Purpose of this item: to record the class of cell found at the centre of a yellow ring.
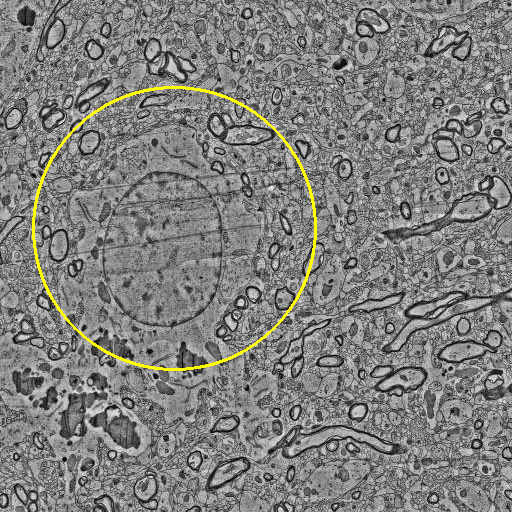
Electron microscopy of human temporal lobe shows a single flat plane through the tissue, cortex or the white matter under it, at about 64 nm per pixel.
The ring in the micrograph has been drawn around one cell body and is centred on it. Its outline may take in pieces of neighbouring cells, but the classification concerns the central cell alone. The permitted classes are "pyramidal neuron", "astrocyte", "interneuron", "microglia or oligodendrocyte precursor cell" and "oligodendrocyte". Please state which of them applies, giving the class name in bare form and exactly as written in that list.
astrocyte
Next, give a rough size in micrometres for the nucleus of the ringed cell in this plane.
In this plane, about 10 micrometres in length and 8 in width.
